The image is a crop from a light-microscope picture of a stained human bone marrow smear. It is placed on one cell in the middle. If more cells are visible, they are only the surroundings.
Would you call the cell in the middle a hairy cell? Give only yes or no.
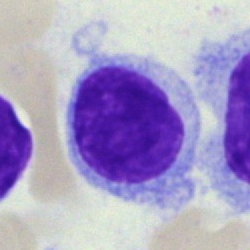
yes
